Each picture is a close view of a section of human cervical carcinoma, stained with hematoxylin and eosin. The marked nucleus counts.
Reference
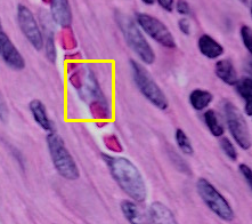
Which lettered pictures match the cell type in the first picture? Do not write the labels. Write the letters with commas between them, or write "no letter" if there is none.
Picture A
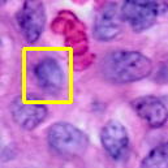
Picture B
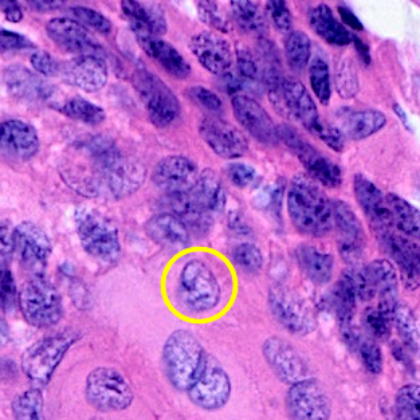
A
